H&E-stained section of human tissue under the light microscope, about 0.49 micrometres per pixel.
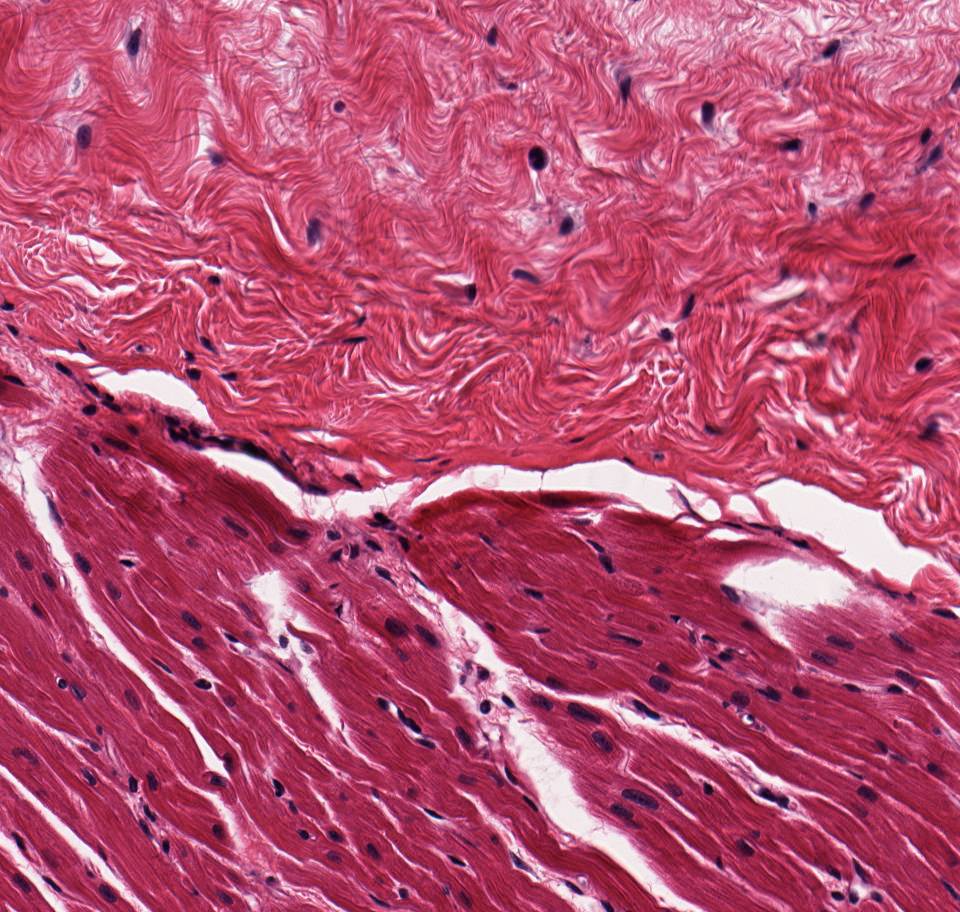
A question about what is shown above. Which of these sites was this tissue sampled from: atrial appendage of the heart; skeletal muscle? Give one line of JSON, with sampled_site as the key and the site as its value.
{"sampled_site": "atrial appendage of the heart"}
